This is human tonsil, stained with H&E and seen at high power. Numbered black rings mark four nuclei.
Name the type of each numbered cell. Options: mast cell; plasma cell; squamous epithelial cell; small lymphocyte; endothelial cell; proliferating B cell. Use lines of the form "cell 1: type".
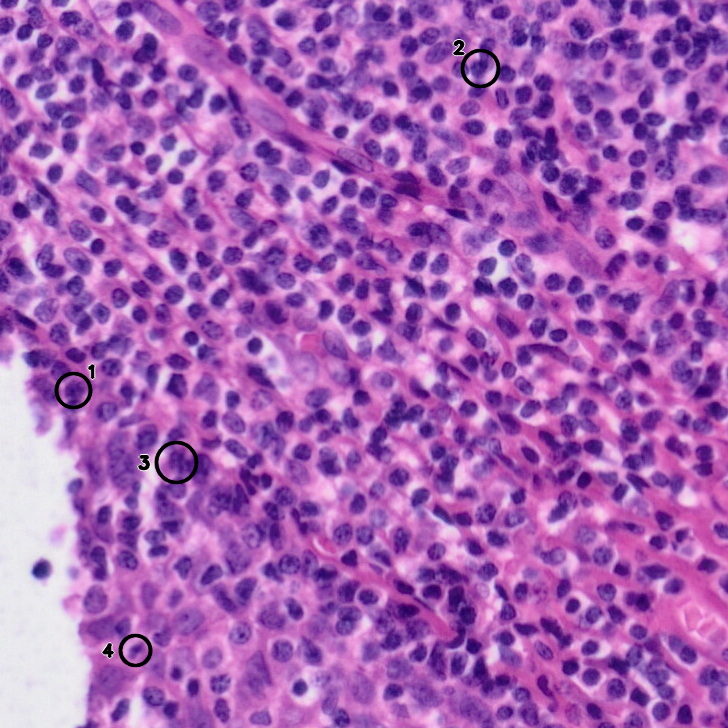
cell 1: squamous epithelial cell
cell 2: small lymphocyte
cell 3: squamous epithelial cell
cell 4: squamous epithelial cell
